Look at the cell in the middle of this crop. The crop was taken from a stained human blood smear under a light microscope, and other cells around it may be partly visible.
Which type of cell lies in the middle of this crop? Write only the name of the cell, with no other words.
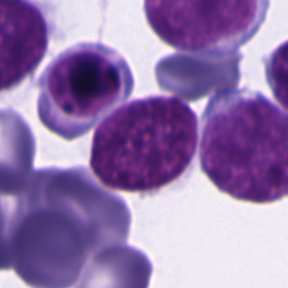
blast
